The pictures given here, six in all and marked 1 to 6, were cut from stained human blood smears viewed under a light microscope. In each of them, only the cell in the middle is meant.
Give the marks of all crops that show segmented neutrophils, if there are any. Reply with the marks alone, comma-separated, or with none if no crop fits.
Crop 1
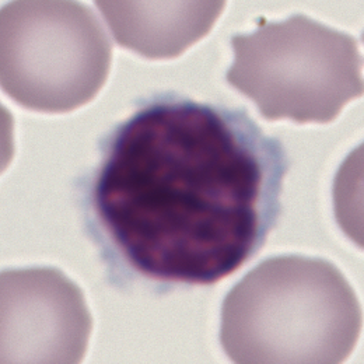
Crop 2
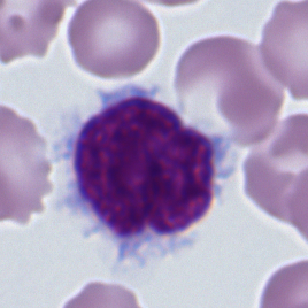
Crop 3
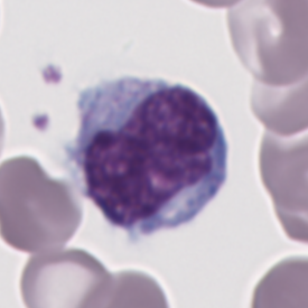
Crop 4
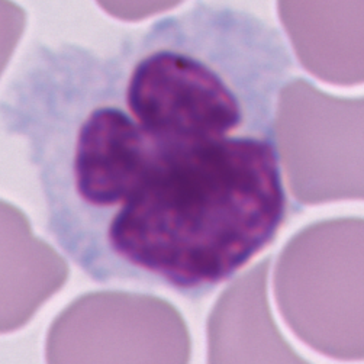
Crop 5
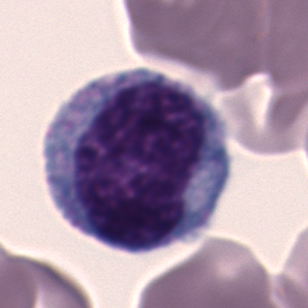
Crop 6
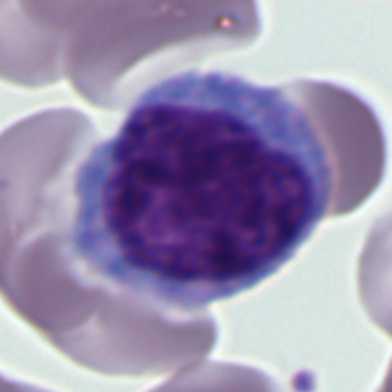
none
